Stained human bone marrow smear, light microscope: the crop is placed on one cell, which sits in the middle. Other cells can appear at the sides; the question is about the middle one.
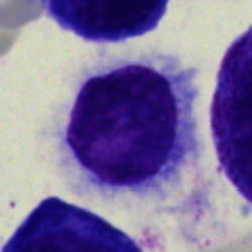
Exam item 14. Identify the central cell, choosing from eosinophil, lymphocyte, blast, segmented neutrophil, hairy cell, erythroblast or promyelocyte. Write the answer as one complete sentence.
The cell in the middle of this crop is a hairy cell.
